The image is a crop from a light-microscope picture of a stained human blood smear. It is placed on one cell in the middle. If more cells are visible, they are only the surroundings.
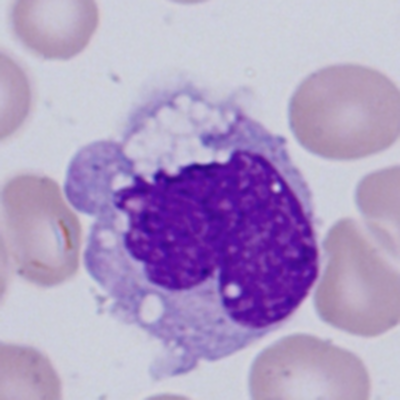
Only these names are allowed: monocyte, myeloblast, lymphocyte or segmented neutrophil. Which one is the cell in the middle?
monocyte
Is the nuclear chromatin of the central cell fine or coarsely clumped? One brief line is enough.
The chromatin is fine throughout, without coarse clumps.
